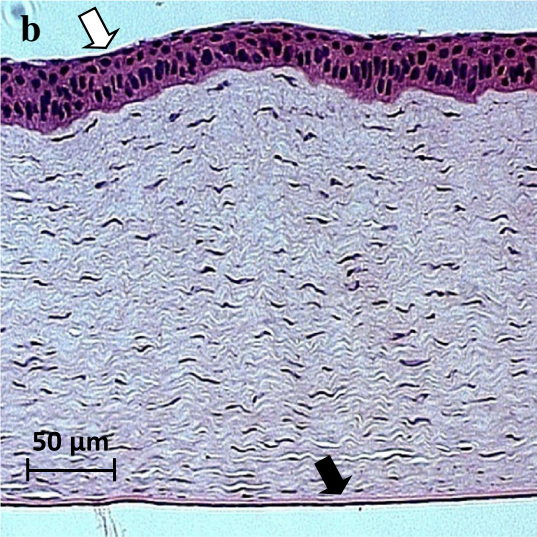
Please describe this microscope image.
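A section of cornea whose upper surface carries a thick epithelium of several layers of cells with densely packed, dark purple nuclei in pink cytoplasm. Beneath it a broad, pale, lilac fibrous layer runs in wavy parallel bands with sparse, elongated, flattened nuclei. The opposite, lower surface bears only a thin lining, the endothelium.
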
